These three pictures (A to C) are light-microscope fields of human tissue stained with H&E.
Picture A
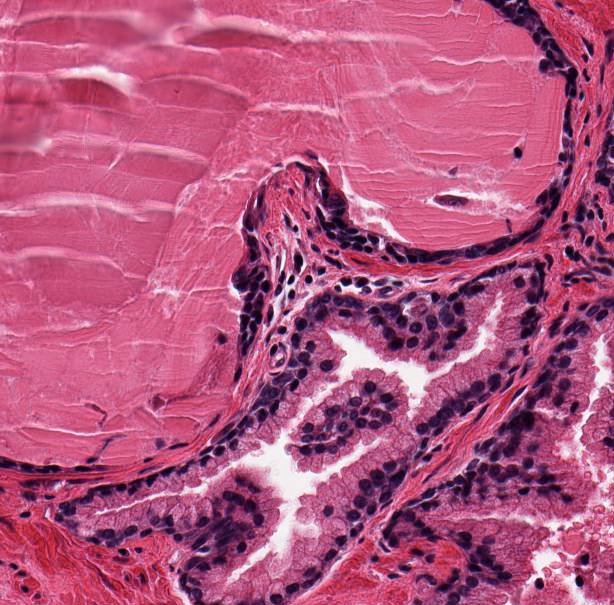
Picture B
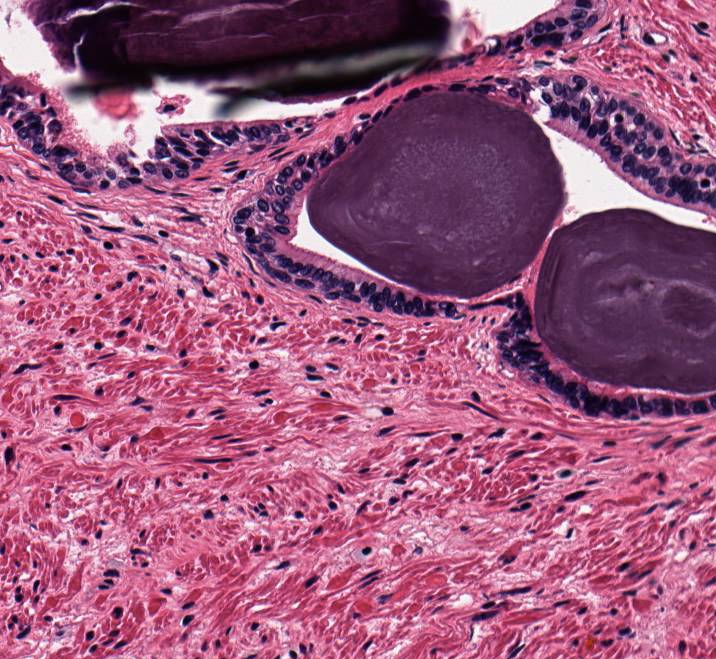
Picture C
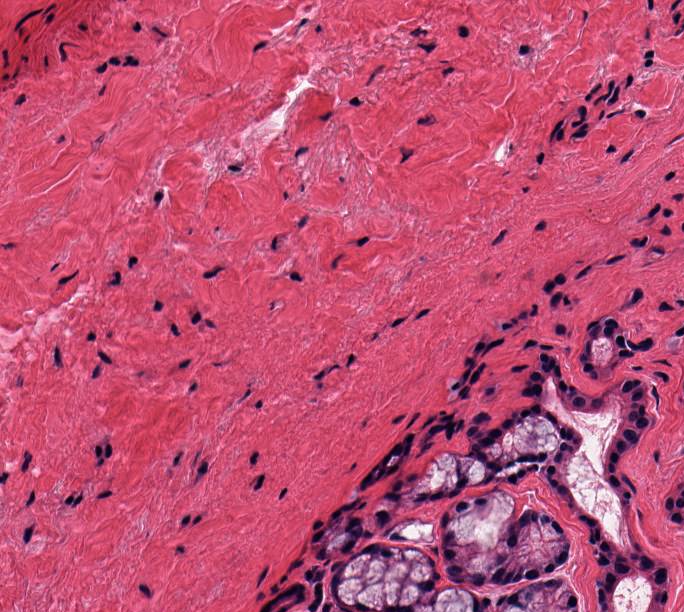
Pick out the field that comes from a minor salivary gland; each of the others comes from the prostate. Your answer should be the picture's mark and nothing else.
C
